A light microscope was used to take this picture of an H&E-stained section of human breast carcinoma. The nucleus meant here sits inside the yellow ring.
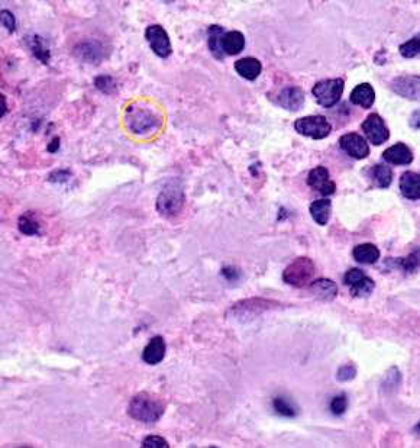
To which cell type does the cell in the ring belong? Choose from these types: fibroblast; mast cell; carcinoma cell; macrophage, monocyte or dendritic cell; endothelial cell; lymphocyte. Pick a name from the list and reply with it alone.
macrophage, monocyte or dendritic cell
